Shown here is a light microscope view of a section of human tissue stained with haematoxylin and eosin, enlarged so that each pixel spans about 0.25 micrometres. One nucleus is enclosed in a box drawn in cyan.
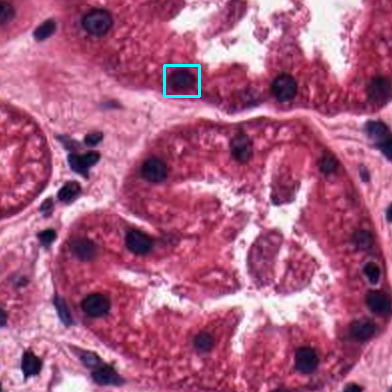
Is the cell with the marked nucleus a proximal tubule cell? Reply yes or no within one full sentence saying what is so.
Yes, the marked nucleus is one that belongs to a proximal tubule cell.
